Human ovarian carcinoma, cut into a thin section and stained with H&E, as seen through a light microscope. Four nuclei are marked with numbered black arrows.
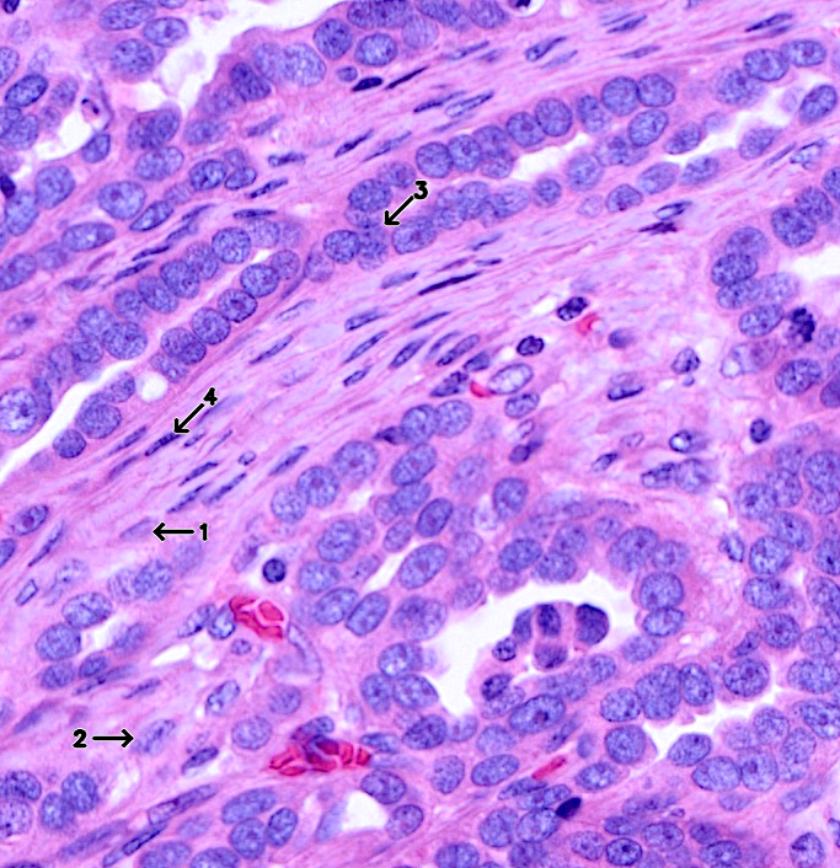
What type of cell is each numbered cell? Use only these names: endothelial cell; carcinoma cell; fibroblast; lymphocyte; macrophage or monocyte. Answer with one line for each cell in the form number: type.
1: fibroblast
2: fibroblast
3: carcinoma cell
4: fibroblast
